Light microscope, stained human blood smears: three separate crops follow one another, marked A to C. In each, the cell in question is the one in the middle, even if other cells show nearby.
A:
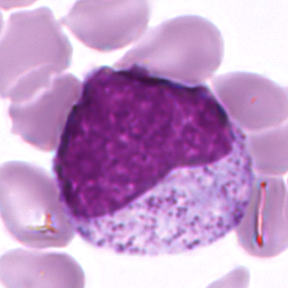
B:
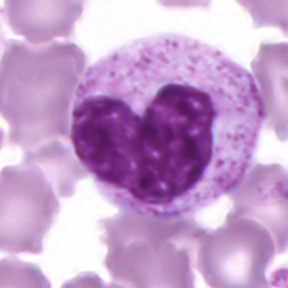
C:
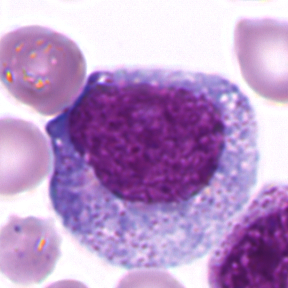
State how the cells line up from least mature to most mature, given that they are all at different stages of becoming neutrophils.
C, A, B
